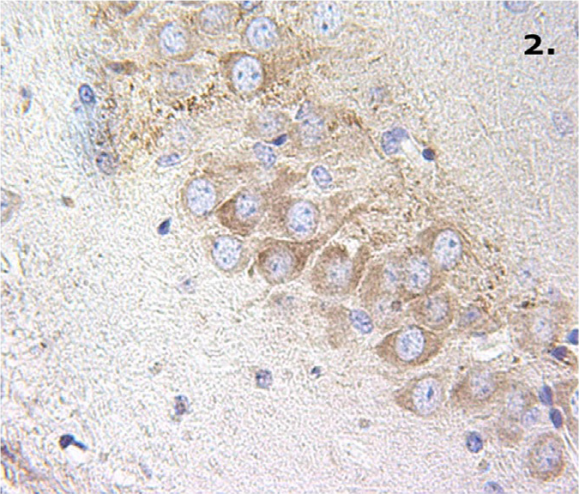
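A band of hippocampal pyramidal cells crosses the field diagonally against a pale, finely textured neuropil. The cells are large, with round to oval pale blue nuclei, each holding one or more distinct nucleoli. Around each nucleus lies a rim of cytoplasm stained light to moderate brown, giving the cell bodies a polygonal outline where they abut one another. The cells are packed several deep. Scattered smaller, darker blue nuclei lie between and beside the band, and a faint brown granular tinge extends into the surrounding neuropil, strongest near the upper part of the band.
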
